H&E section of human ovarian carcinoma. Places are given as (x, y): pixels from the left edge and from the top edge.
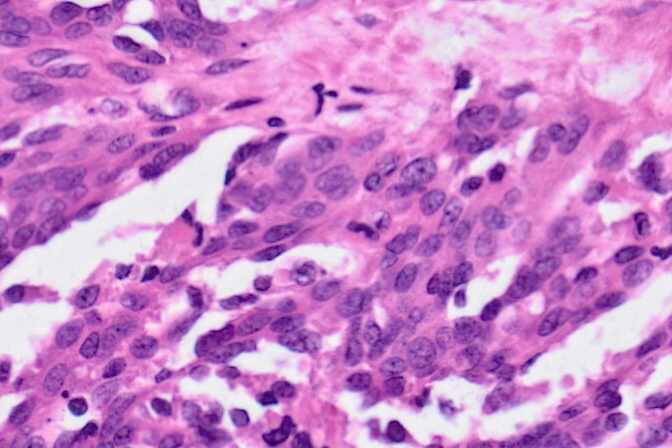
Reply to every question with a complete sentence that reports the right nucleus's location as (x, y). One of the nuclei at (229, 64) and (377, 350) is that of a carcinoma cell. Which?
The nucleus lying at (377, 350) is the nucleus of a carcinoma cell.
